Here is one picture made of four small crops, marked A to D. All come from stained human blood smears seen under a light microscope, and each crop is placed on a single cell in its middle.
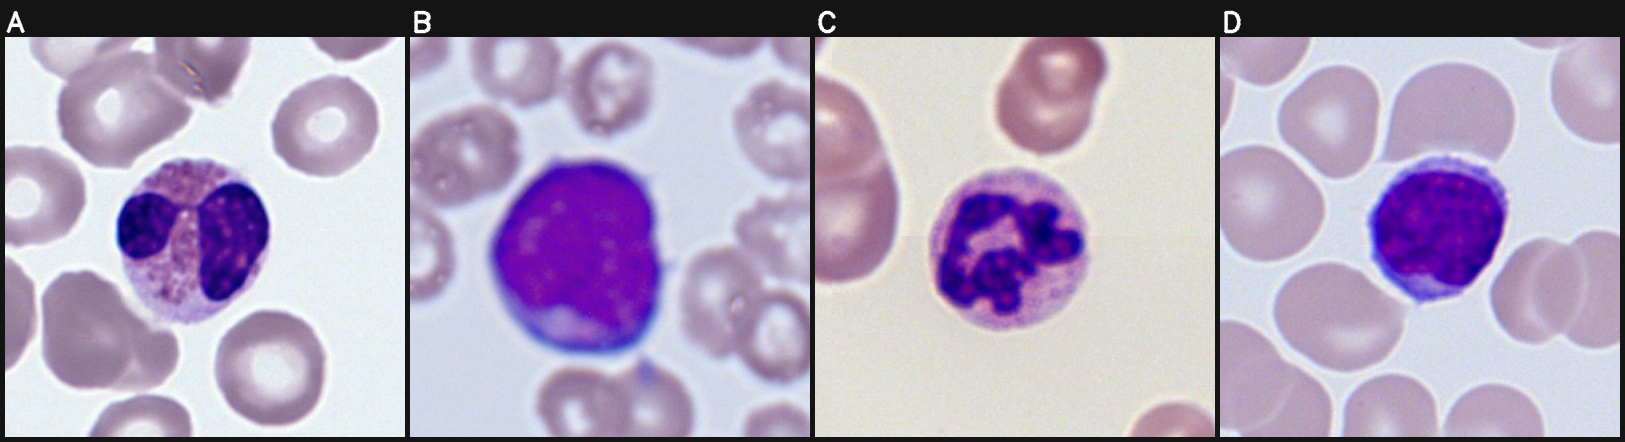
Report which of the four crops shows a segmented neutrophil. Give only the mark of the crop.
C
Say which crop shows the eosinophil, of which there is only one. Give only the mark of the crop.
A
